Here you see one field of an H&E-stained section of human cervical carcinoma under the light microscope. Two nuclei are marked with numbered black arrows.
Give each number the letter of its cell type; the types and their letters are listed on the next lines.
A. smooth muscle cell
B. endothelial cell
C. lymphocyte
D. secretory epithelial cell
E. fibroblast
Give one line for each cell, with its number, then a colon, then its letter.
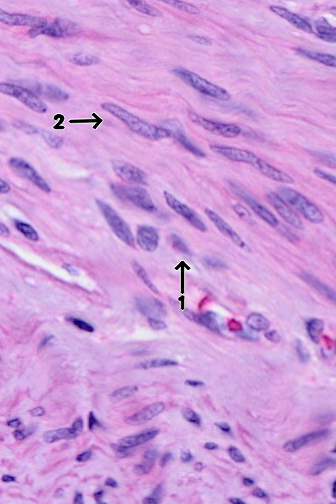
1: E
2: A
